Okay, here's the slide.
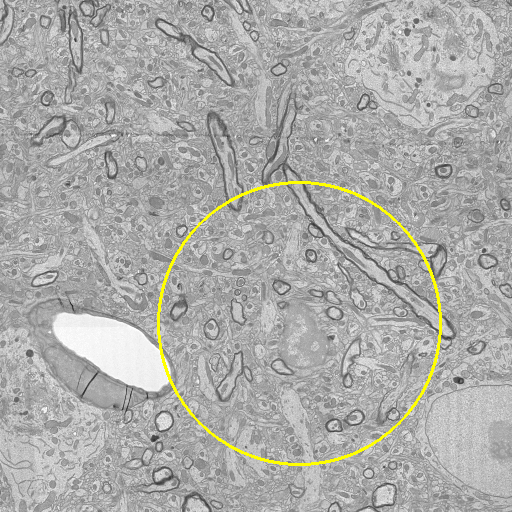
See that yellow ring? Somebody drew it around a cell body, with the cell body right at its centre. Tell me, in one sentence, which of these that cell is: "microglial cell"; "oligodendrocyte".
The cell in the middle of the ring is an oligodendrocyte.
